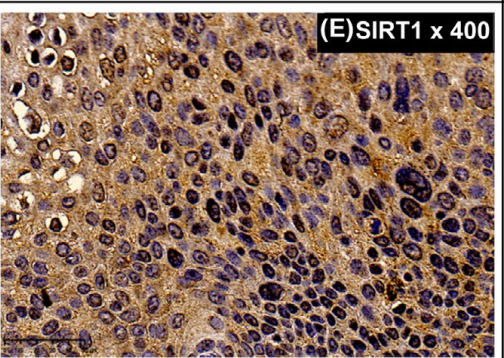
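Tumor tissue made of densely packed polygonal cells with no orderly layering. The nuclei are large, oval and unequal in size, mostly blue-grey, many with visible nucleoli. The cytoplasm between them is stained a diffuse granular brown. A few small clear spaces lie near the upper left corner.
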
